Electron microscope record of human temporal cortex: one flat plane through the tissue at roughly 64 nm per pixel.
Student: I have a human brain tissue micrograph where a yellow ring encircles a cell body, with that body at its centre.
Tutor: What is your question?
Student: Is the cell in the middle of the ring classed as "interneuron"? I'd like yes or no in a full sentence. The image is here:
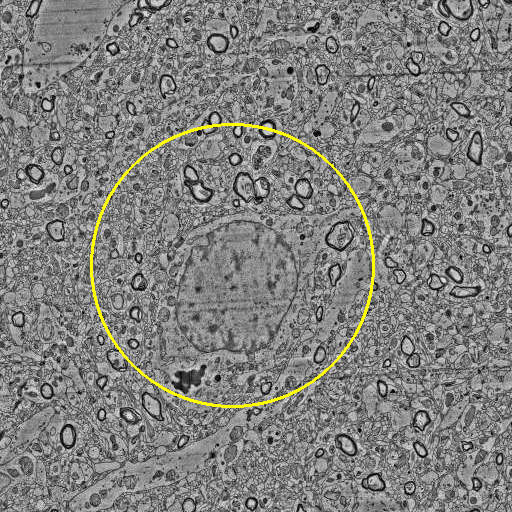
Yes, the cell in the middle of the ring is classed as that kind.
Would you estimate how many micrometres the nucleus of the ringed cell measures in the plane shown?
In this plane, about 9 micrometres in length and 7 in width.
